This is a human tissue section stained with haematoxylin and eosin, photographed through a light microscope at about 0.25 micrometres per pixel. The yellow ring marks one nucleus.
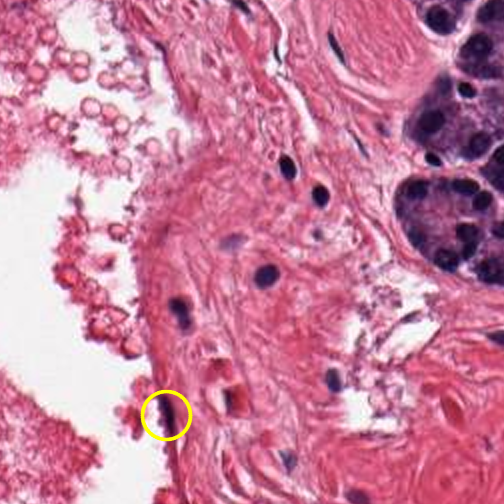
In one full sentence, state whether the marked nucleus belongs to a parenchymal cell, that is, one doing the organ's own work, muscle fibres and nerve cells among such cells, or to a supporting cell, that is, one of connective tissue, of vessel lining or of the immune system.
A supporting cell is the cell in which the marked nucleus is found.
